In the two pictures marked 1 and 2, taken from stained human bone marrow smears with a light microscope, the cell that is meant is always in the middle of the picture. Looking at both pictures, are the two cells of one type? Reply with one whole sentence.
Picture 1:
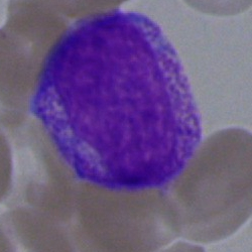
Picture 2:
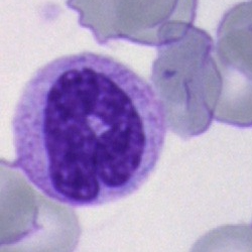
No; the cell in picture 1 is a myelocyte, while the one in picture 2 is a band neutrophil.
